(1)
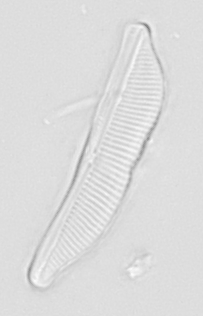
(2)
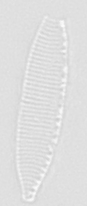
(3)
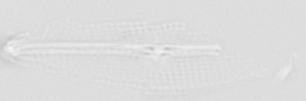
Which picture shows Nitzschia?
Picture 2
